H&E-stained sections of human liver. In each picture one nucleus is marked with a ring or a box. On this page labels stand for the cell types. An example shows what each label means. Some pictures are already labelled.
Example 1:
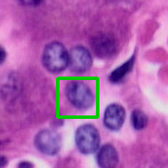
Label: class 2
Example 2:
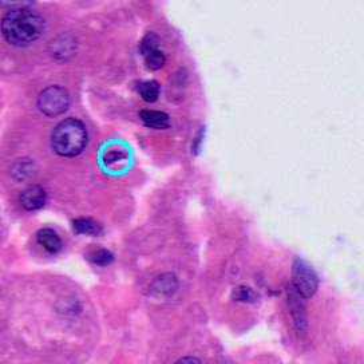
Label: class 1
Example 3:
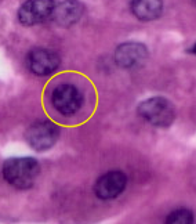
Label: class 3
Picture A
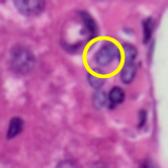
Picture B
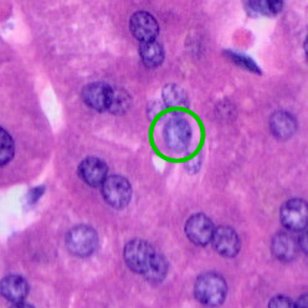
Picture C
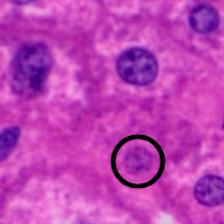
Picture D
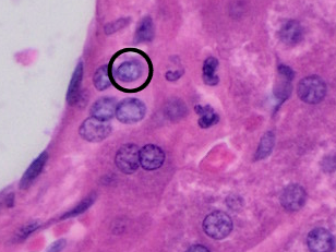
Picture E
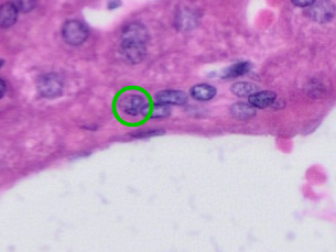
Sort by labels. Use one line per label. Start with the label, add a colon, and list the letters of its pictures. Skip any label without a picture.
class 2: A, B, D, E
class 3: C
